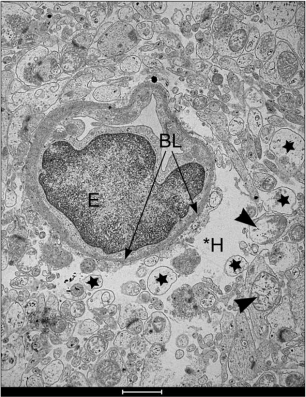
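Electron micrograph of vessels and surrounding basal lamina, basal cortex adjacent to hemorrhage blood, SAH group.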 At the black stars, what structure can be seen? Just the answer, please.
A: vacuole-like structures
